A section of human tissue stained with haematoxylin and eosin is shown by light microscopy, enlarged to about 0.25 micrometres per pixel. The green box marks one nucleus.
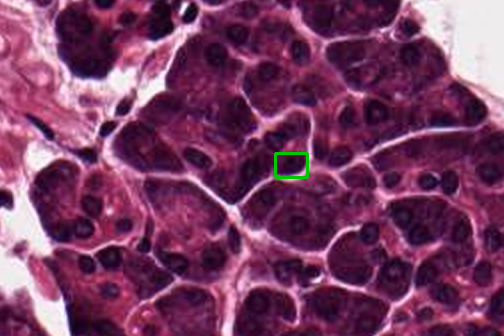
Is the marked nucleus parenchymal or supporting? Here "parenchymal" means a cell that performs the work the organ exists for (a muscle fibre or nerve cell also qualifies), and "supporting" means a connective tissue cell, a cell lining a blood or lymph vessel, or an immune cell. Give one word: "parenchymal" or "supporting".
parenchymal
